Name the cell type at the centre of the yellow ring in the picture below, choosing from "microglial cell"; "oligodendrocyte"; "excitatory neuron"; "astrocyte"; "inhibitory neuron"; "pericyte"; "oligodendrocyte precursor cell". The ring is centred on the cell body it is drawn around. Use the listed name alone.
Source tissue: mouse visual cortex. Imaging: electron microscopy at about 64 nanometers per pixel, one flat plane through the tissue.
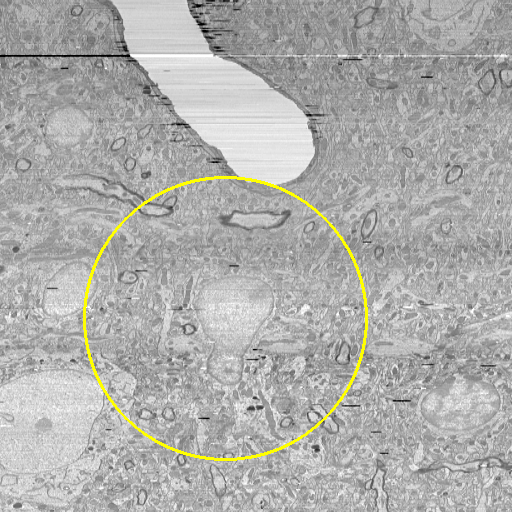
astrocyte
